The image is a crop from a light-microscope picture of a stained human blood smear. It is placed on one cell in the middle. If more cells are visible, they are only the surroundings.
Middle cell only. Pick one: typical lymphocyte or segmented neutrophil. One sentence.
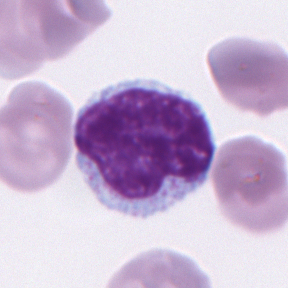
In short, the cell at the center is a typical lymphocyte.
